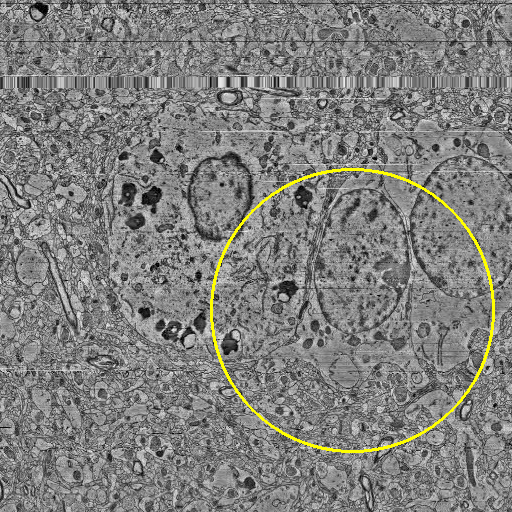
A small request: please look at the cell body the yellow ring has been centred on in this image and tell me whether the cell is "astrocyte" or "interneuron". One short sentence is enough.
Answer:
The cell marked by the ring is an astrocyte.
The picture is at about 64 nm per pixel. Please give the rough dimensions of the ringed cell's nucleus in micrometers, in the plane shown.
About 9 by 6 micrometres; in this plane the nucleus is clearly longer than it is wide.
